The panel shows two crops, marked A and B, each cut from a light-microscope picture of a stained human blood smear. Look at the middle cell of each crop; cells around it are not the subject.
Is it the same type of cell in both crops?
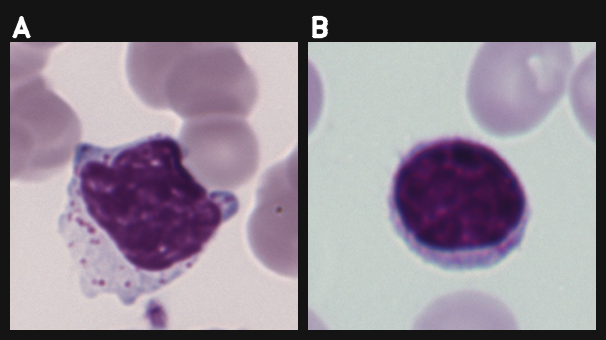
yes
